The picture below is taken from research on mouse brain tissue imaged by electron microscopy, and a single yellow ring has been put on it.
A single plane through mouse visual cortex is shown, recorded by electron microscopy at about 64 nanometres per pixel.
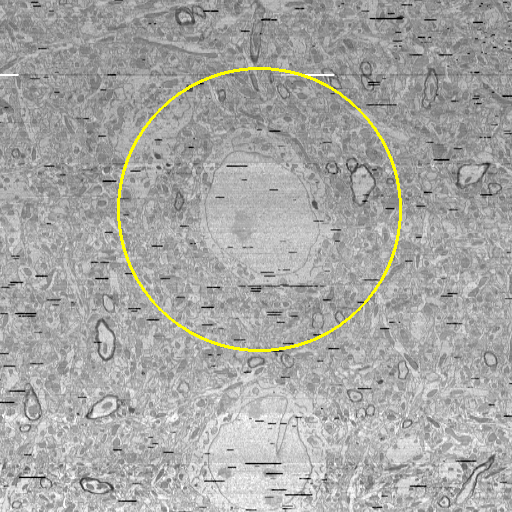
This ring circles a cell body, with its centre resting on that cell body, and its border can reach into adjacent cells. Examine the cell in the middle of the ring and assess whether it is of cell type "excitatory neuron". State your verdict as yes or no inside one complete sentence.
Yes, in the picture, the cell lying at the centre of the ring is of this type.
